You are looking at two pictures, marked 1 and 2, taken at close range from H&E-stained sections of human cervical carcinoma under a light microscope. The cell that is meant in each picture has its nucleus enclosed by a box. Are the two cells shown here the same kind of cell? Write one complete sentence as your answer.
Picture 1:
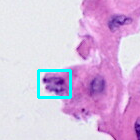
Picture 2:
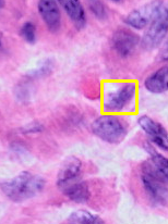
No, picture 1 shows a squamous carcinoma cell and picture 2 shows an endothelial cell.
